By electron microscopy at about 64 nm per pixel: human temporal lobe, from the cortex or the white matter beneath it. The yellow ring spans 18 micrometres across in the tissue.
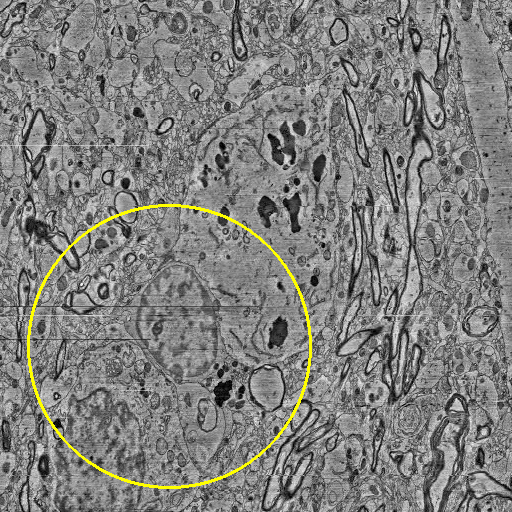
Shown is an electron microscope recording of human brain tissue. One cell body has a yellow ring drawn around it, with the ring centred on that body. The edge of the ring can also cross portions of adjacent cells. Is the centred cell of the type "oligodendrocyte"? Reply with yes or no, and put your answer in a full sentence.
Yes, in the picture, the cell on which the ring is centred has this type.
